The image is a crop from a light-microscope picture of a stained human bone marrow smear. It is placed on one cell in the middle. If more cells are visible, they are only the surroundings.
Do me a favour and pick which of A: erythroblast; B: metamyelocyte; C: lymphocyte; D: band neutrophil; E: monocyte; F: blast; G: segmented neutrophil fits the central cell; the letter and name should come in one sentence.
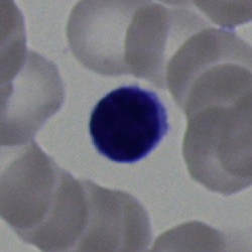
The middle cell of the crop is a lymphocyte; accordingly, option C is correct.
